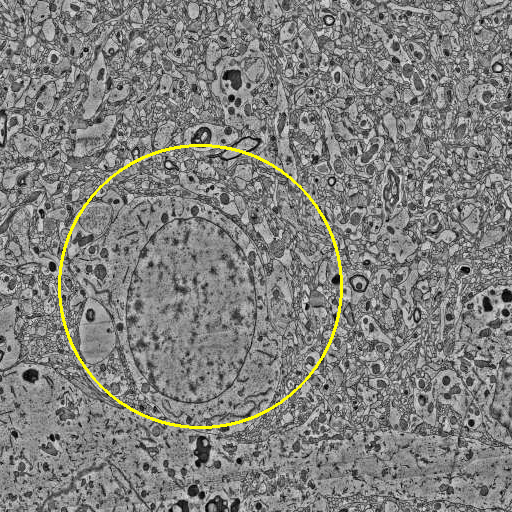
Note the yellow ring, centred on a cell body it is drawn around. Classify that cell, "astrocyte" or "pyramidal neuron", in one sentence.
The cell the ring is centred on is a pyramidal neuron.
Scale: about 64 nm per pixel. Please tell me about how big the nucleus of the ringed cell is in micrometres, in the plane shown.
In this plane the nucleus measures roughly 12 by 8 micrometers.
